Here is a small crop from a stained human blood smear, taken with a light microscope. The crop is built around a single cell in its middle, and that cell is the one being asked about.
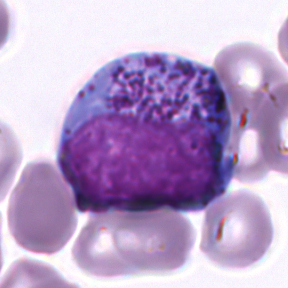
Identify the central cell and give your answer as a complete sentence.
Framed in the middle of the crop is a promyelocyte.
